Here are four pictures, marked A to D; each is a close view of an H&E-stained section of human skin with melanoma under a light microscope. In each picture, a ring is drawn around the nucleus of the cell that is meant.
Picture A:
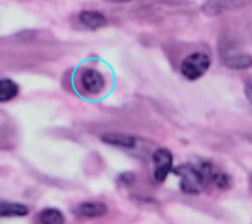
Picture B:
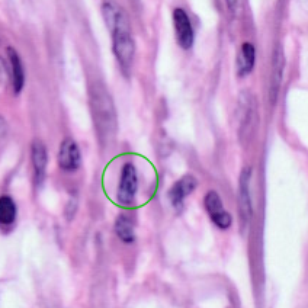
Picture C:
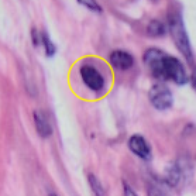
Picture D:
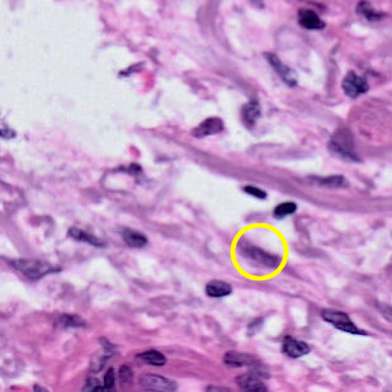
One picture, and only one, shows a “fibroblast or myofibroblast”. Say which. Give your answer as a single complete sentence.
Picture D is the one that shows the “fibroblast or myofibroblast”.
